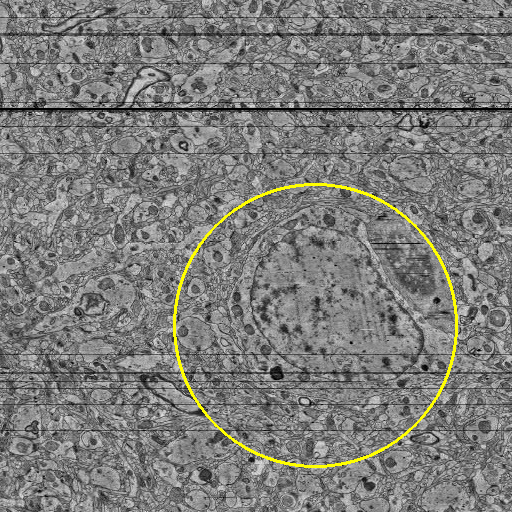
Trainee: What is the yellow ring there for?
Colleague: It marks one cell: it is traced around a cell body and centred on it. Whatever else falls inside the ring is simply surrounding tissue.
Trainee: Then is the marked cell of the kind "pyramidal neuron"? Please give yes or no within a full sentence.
Yes, the marked cell at the centre of the yellow ring is of the kind asked about.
